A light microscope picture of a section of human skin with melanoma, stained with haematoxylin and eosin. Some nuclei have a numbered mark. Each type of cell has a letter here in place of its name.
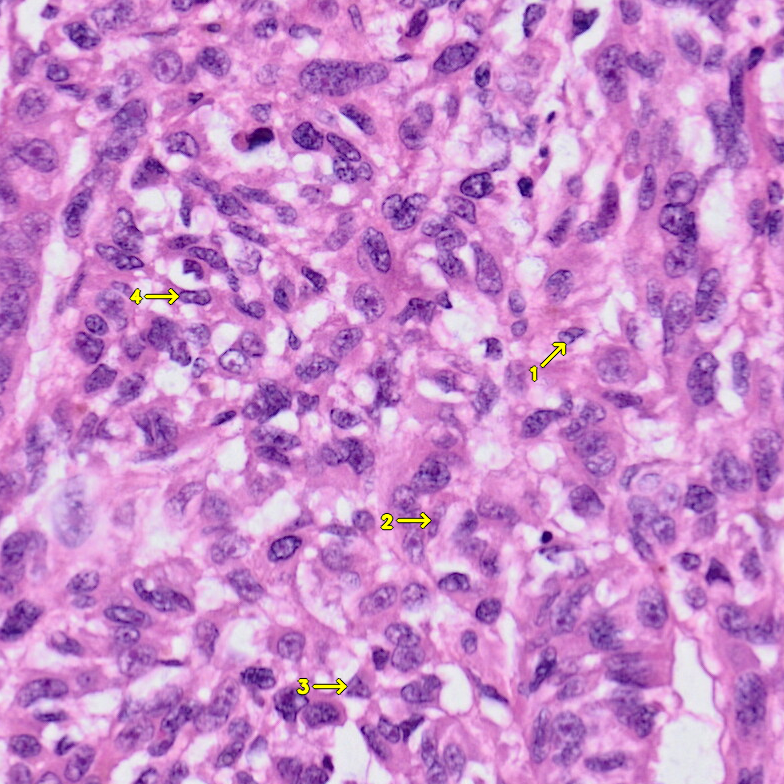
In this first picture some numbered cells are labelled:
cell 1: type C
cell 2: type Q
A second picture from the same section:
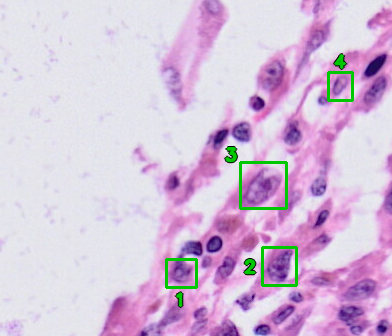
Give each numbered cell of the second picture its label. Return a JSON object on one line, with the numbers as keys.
{"1": "type C", "2": "type Q", "3": "type Q", "4": "type C"}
